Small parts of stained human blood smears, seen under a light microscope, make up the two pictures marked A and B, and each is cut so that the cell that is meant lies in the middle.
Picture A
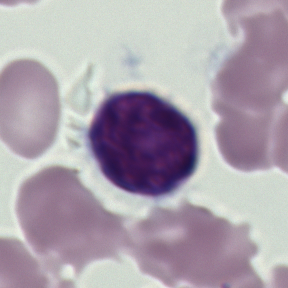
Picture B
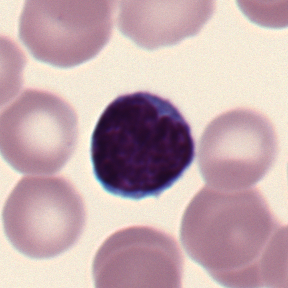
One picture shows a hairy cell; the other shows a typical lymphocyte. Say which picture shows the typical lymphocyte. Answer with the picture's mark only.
B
